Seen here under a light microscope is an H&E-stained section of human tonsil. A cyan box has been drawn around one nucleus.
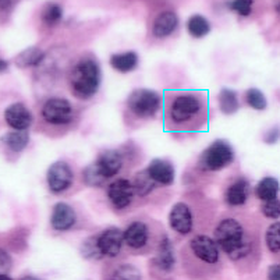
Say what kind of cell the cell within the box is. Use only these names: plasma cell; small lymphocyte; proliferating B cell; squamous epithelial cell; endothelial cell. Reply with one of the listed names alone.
plasma cell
